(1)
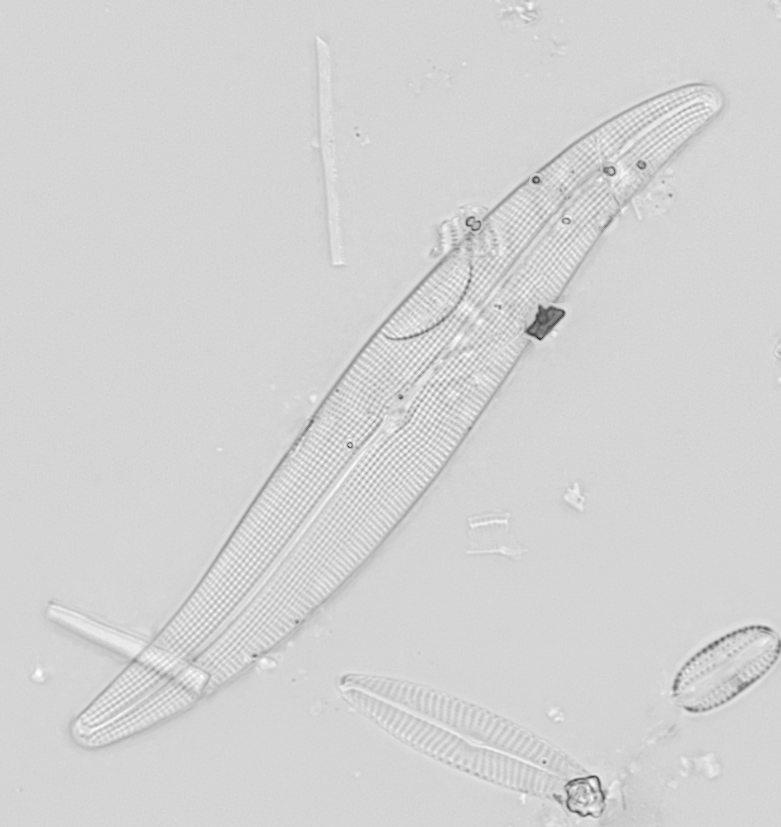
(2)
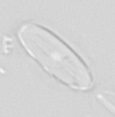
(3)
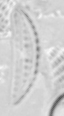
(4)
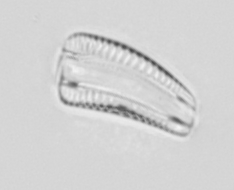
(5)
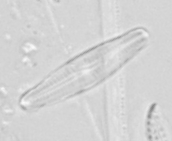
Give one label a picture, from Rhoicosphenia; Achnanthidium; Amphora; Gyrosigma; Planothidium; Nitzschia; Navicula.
Picture 1: Gyrosigma
Picture 2: Achnanthidium
Picture 3: Amphora
Picture 4: Rhoicosphenia
Picture 5: Achnanthidium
